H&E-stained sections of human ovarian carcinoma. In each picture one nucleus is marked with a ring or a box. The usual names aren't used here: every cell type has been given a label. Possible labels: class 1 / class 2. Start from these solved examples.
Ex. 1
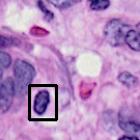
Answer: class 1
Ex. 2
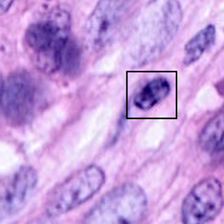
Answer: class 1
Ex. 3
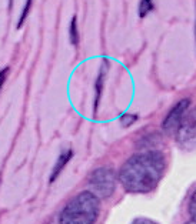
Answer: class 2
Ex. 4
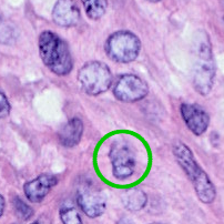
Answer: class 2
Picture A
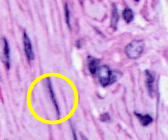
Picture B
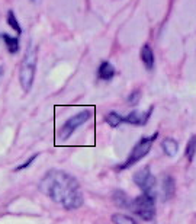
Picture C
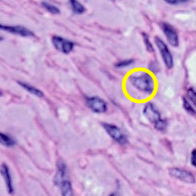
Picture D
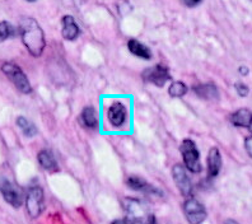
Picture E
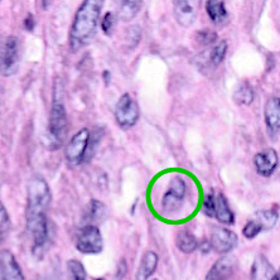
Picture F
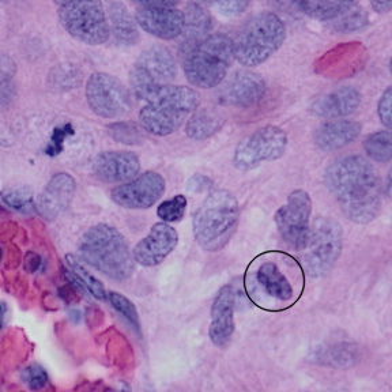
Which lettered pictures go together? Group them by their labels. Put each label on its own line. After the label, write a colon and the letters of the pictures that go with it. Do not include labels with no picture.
class 1: D, F
class 2: A, B, C, E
